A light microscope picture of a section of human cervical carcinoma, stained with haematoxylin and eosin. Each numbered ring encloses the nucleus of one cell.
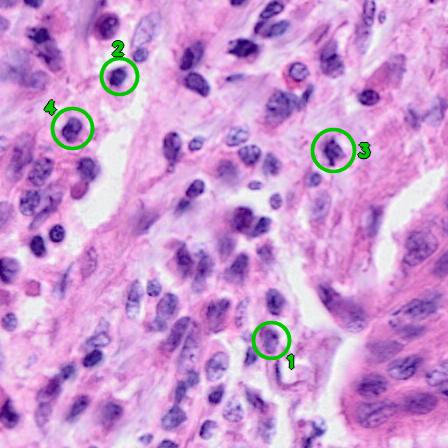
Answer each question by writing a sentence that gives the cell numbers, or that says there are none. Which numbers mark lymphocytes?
On this slide, the cells numbered 2, 3 and 4 are lymphocytes.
